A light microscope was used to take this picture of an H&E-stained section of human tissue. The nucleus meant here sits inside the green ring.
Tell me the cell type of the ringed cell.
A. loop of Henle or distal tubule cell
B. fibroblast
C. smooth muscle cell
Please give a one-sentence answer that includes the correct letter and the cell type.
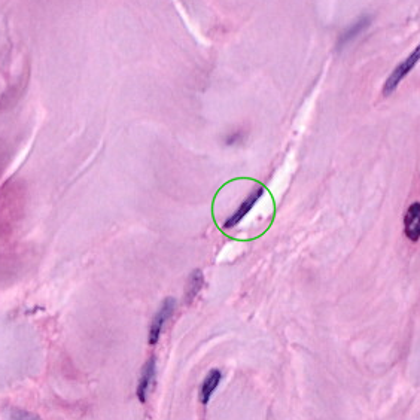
Option B holds, since the ringed cell is a fibroblast.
